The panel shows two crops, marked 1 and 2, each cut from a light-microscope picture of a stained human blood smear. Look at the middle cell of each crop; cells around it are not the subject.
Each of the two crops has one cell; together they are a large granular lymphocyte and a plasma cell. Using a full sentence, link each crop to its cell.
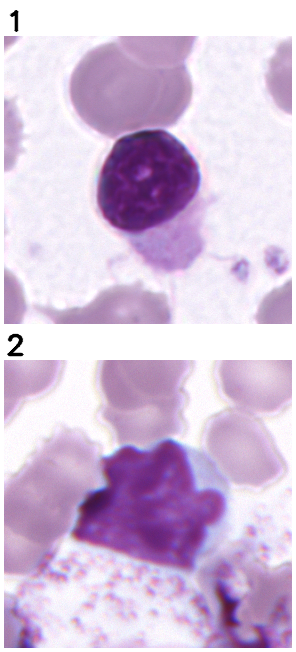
In crop 1 the cell is a plasma cell, while in crop 2 it is a large granular lymphocyte.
